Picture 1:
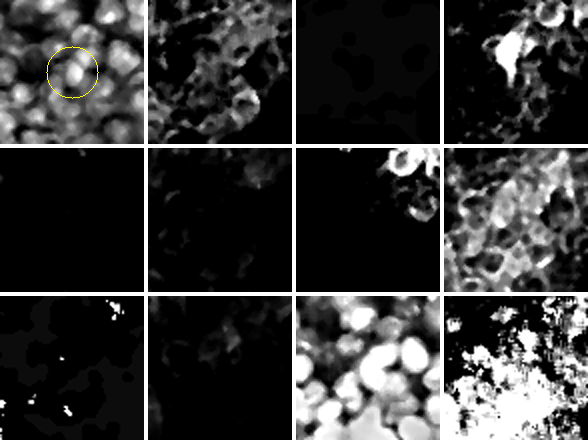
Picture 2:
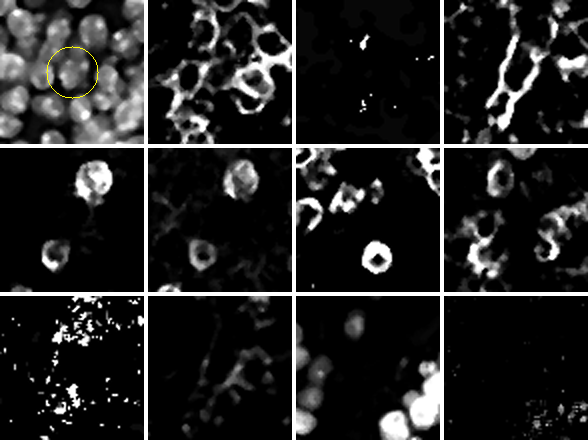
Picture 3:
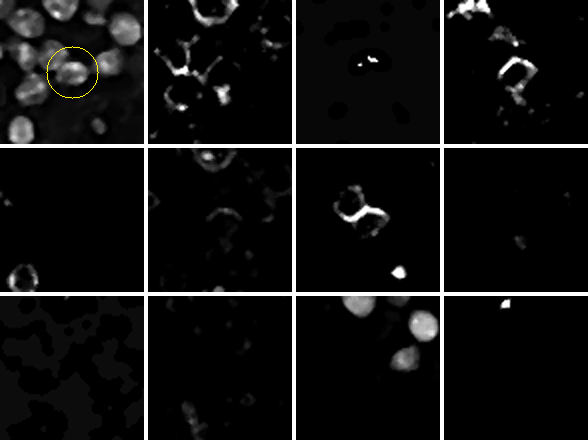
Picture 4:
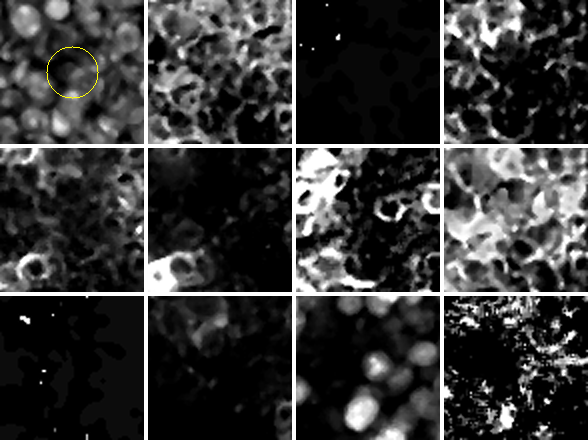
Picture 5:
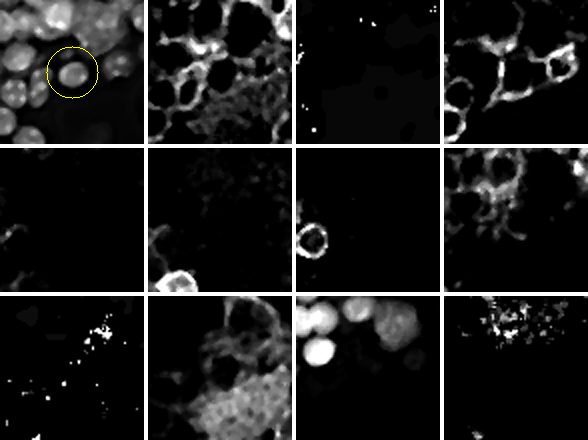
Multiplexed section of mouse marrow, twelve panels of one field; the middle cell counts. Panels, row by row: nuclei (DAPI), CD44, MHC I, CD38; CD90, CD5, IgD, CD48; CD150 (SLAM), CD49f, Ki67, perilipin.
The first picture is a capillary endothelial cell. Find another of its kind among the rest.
Picture 5.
